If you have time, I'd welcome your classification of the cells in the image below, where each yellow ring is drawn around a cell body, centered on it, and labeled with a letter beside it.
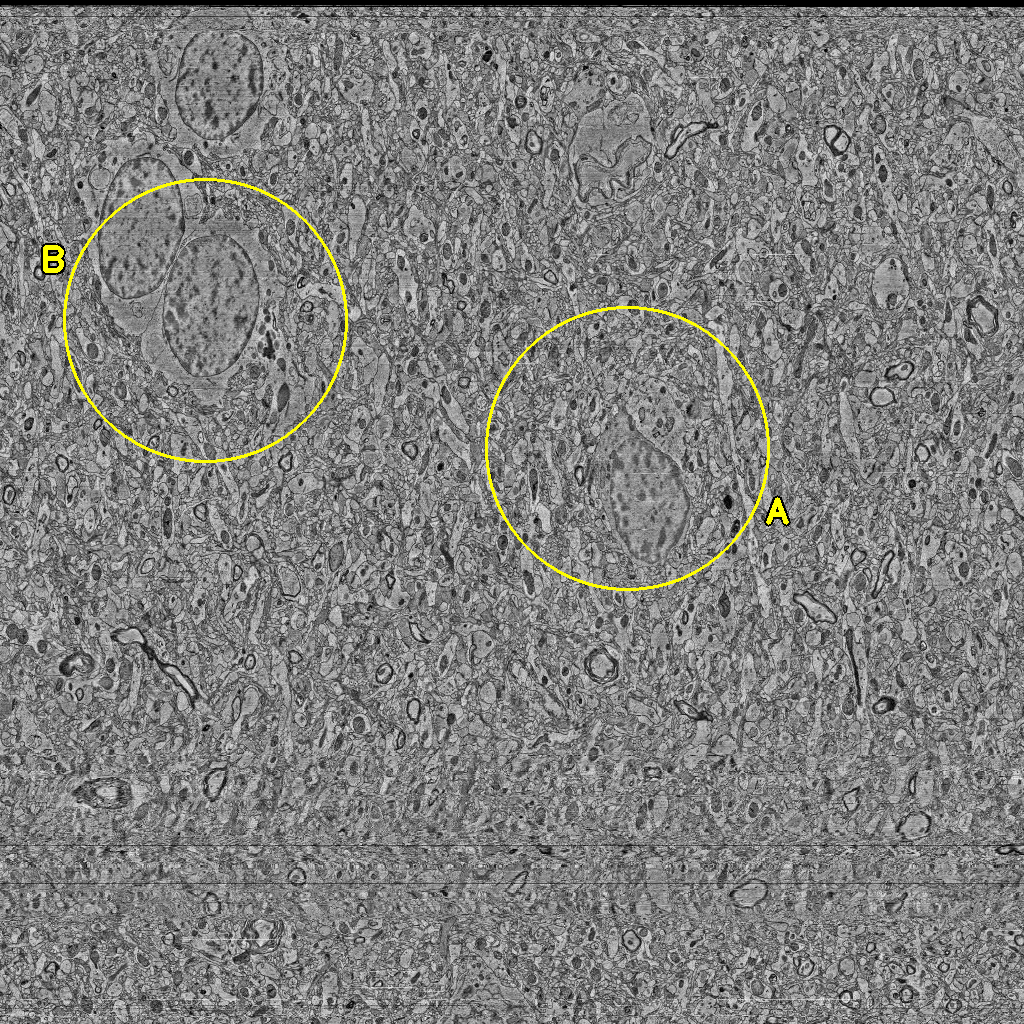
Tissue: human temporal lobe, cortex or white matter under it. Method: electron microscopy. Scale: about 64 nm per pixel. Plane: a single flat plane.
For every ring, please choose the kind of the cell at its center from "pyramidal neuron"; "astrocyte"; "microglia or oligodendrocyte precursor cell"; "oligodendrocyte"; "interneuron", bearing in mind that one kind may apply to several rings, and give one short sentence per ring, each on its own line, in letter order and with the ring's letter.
At the center of ring A is an oligodendrocyte.
At the center of ring B is an astrocyte.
